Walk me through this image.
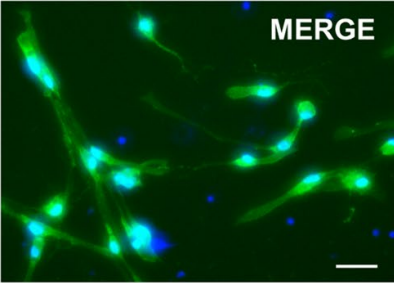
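From the cell bodies extend long, slender green processes, some spindle-shaped cells tapering at both ends. A few blue nuclei lie without surrounding green, and the cells are scattered with their processes crossing one another.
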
